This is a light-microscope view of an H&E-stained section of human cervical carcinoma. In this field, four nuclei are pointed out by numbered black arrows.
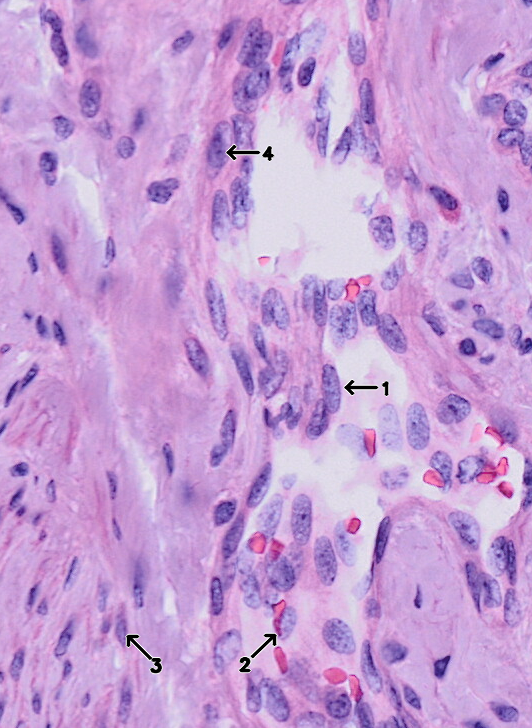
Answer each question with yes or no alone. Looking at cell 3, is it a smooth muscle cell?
yes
